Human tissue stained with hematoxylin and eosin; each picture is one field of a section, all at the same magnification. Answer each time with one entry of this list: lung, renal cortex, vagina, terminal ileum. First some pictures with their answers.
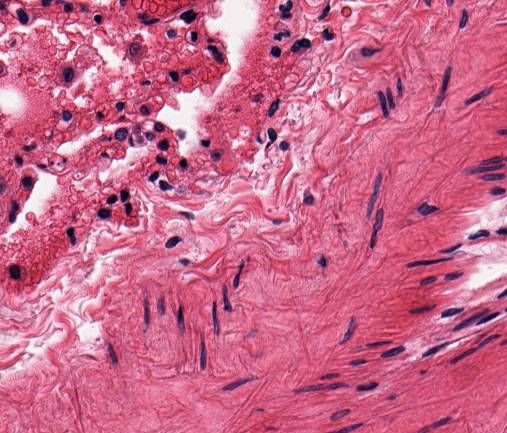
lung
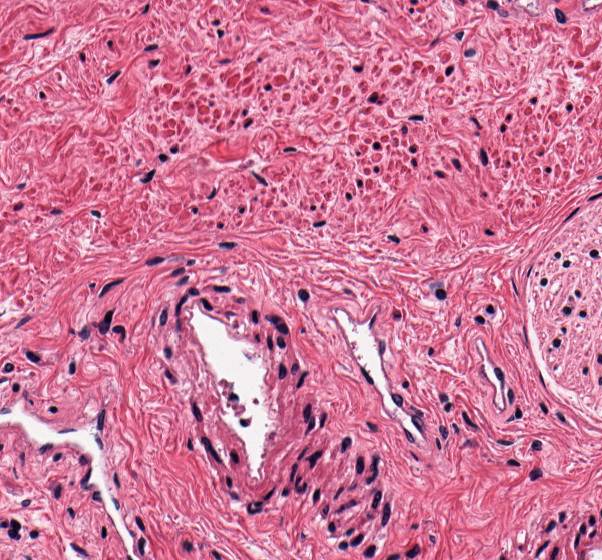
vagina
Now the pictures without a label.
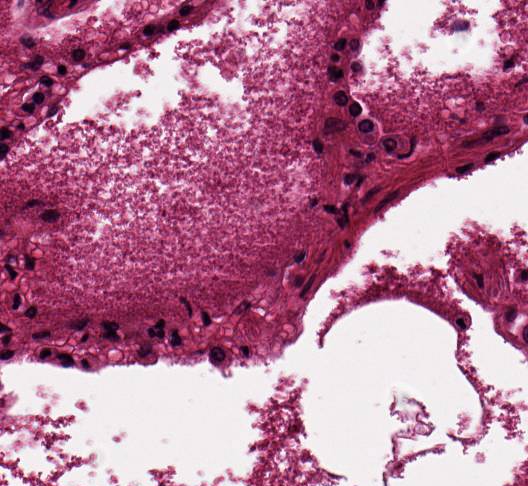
lung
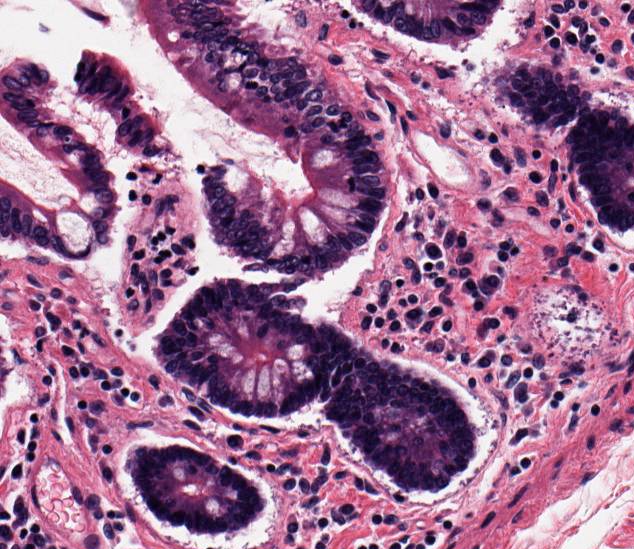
terminal ileum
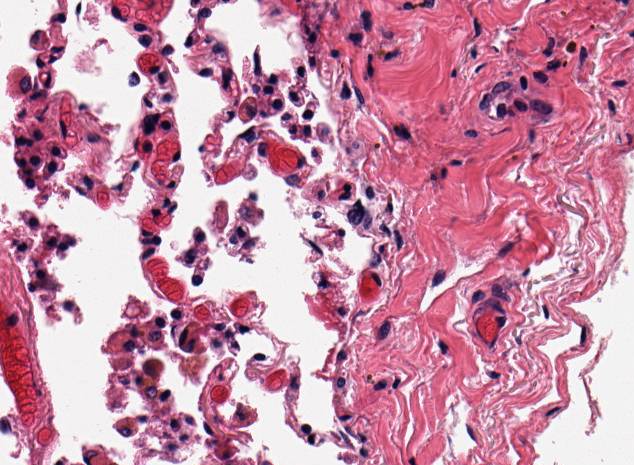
lung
